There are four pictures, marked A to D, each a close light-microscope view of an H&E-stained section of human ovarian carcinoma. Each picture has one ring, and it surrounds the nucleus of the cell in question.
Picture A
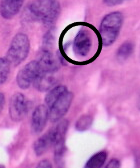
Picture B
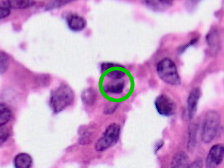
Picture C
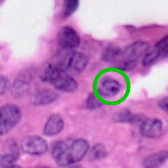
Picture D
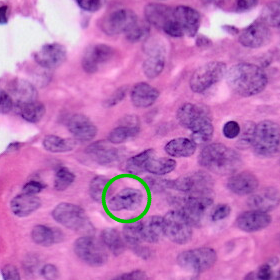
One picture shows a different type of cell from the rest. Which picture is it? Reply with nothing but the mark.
A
